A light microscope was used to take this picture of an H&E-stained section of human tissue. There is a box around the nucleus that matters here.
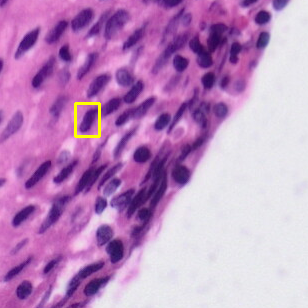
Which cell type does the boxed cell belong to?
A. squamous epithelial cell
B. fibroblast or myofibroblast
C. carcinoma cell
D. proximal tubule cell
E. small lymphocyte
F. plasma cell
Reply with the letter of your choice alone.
A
